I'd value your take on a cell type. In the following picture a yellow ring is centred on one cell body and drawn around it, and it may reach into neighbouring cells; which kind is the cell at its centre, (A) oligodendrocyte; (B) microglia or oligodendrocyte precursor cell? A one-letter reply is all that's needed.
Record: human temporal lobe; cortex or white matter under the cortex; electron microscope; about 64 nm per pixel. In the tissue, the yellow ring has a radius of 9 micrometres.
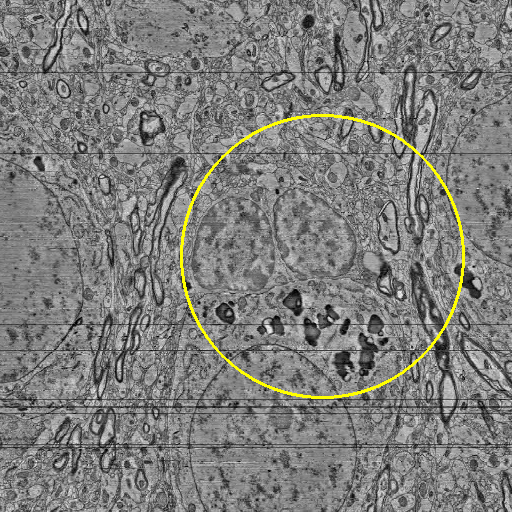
A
